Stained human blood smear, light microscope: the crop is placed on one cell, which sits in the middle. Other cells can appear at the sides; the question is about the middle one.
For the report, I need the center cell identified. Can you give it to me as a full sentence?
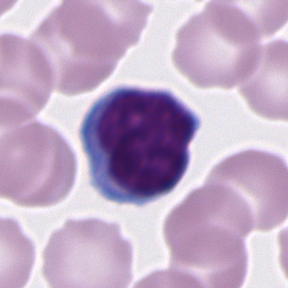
In this smear crop, the middle cell is a typical lymphocyte.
